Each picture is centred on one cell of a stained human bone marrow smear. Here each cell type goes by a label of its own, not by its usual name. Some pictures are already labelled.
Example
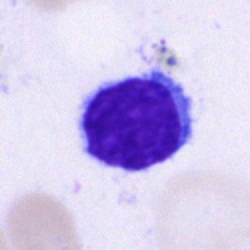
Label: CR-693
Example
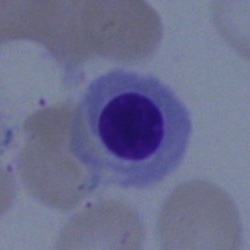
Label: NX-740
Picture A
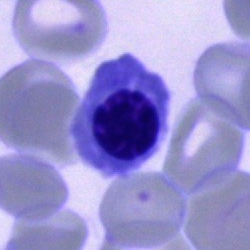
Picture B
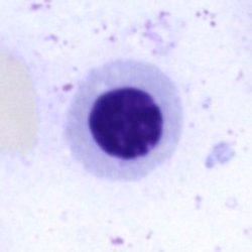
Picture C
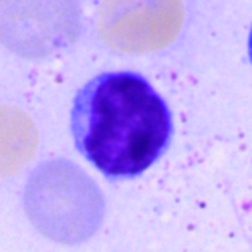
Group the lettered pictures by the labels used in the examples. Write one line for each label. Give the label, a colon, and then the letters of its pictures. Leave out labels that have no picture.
CR-693: C
NX-740: A, B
